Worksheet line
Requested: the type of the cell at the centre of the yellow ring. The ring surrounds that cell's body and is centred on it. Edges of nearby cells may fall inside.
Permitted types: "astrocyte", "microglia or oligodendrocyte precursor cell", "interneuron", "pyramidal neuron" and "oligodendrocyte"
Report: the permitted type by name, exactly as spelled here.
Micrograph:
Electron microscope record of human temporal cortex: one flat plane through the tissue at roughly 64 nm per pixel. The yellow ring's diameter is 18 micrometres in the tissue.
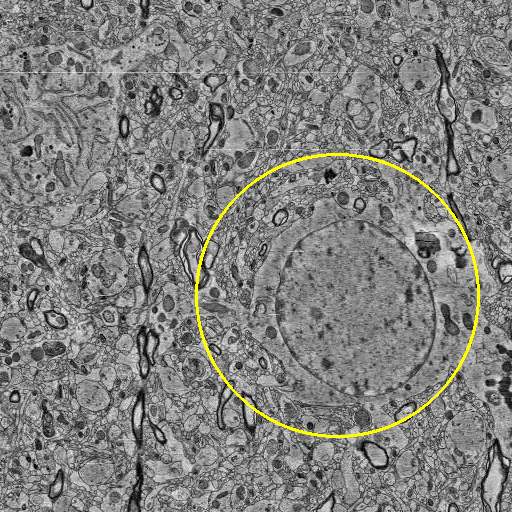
astrocyte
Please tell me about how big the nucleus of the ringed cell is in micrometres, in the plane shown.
About 12 by 10 micrometres in this plane.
